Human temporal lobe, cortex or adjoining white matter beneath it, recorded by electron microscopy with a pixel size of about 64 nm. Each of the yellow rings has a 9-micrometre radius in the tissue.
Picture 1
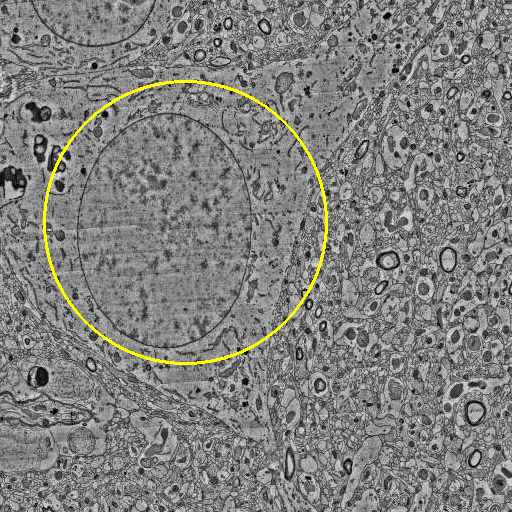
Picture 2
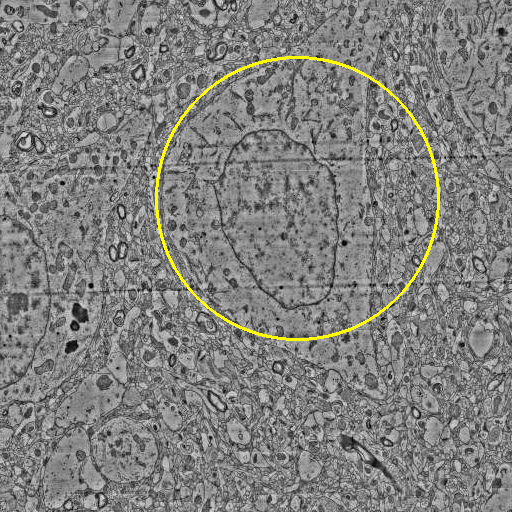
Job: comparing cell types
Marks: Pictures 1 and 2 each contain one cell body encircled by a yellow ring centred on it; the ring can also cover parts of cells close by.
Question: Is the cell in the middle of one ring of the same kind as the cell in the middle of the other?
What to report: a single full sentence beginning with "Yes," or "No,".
Yes, the cell at the ring centre in Picture 1 and its partner in Picture 2 are of one kind.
